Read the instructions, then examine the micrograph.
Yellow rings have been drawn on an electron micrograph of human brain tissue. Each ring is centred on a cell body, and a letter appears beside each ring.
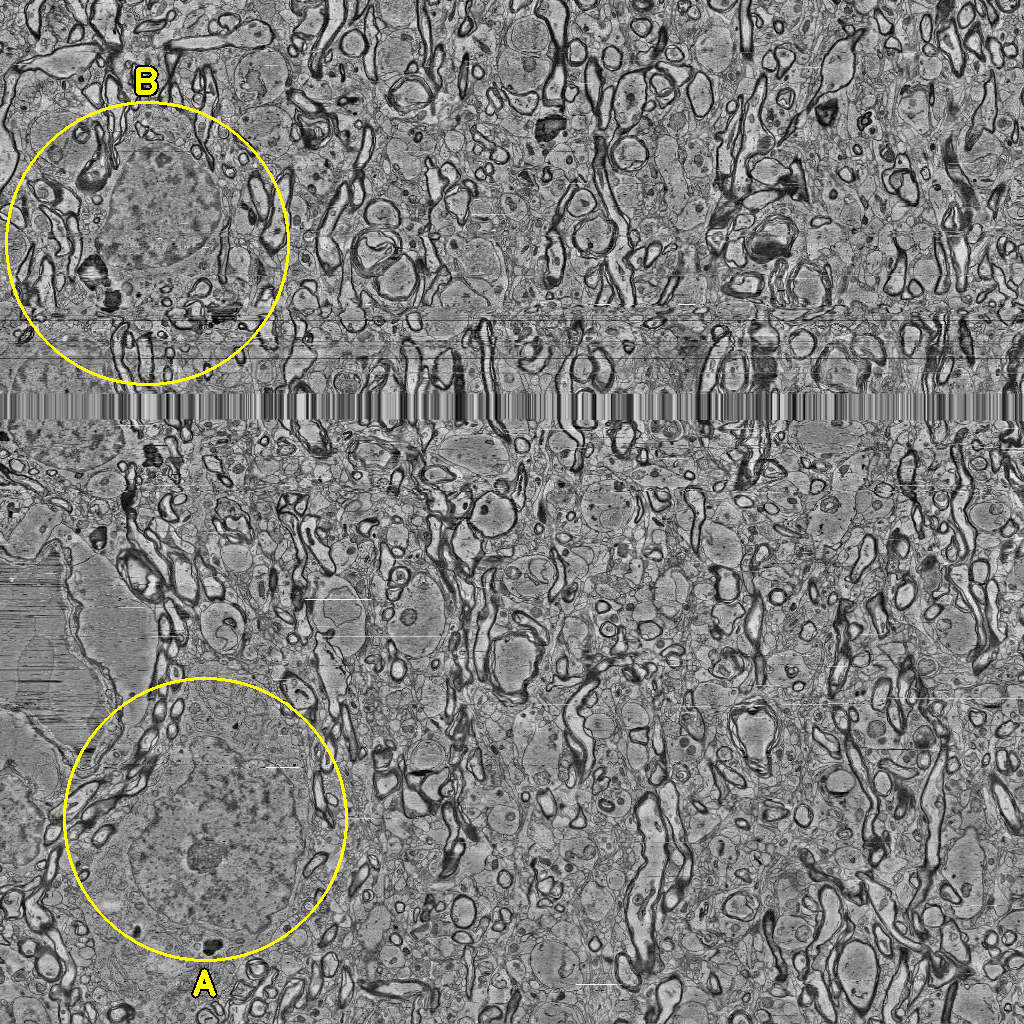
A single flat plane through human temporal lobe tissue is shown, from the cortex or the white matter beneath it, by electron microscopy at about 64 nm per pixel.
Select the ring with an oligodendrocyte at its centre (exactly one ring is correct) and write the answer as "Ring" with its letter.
Ring B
